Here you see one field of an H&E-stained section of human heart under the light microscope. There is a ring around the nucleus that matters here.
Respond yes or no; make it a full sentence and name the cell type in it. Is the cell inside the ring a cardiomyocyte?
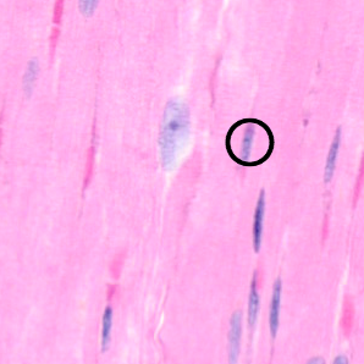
No, it is as an endothelial cell, not a cardiomyocyte, that the cell inside the ring is classified.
